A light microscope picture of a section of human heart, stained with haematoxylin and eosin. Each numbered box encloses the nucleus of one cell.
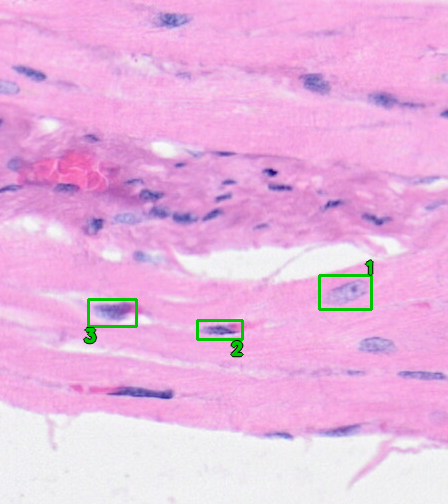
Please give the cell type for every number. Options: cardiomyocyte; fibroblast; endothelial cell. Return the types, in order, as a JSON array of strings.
["cardiomyocyte", "endothelial cell", "endothelial cell"]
